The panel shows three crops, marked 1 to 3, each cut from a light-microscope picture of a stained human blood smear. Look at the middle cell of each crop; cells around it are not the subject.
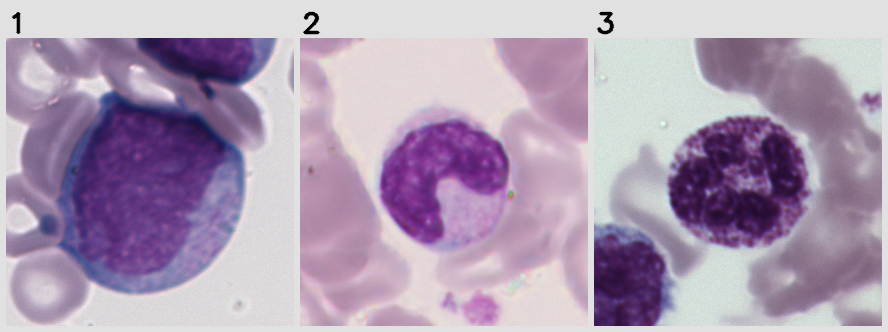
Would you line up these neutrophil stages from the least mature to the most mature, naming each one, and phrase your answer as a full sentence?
The maturation order of the crops, earliest to latest, is crop 1 (a promyelocyte), crop 2 (a band neutrophil) and crop 3 (a segmented neutrophil).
